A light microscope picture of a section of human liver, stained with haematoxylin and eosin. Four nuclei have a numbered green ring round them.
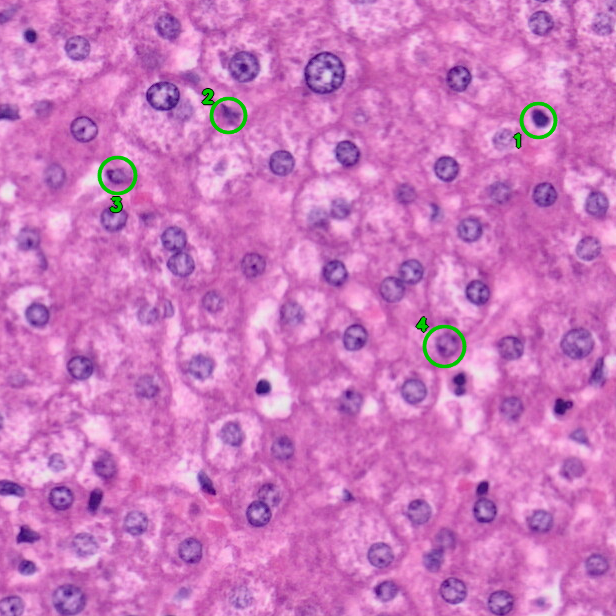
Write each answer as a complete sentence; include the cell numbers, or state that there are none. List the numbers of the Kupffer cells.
Cell 3 is a Kupffer cell, whereas each of the other numbered cells is not.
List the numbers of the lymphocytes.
Nothing but cell 1 is a lymphocyte among the numbered ones.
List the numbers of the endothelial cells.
Cell 2 is an endothelial cell, and it is the only one.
